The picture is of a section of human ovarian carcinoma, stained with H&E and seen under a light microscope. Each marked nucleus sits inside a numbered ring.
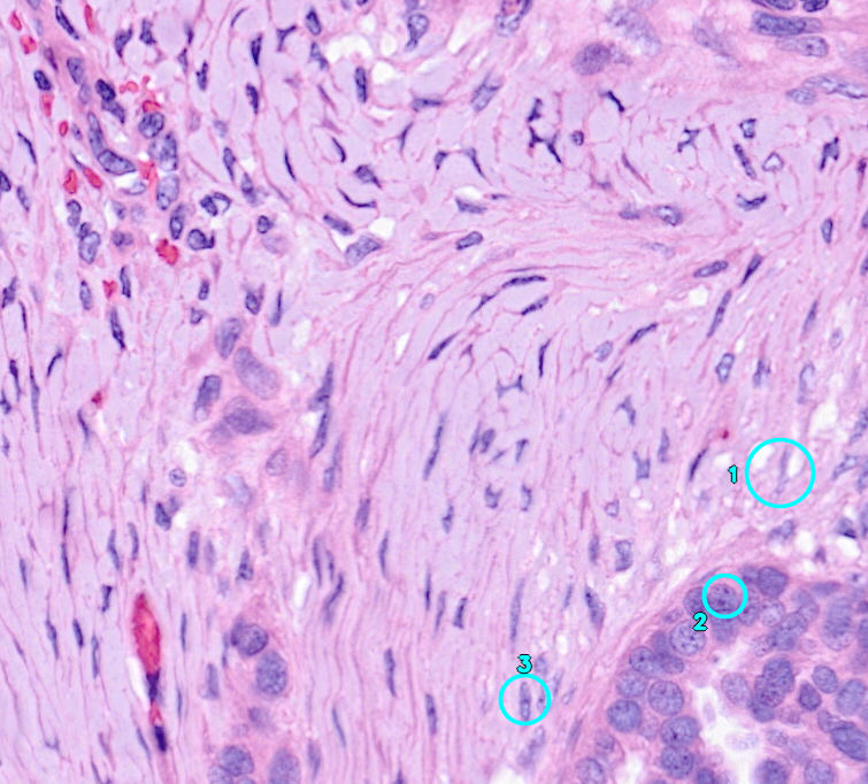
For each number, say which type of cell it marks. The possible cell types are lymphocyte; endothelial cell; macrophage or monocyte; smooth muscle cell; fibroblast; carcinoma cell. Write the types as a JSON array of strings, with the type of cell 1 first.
["fibroblast", "carcinoma cell", "fibroblast"]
